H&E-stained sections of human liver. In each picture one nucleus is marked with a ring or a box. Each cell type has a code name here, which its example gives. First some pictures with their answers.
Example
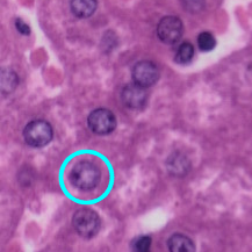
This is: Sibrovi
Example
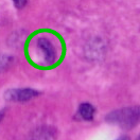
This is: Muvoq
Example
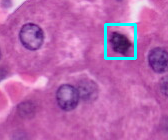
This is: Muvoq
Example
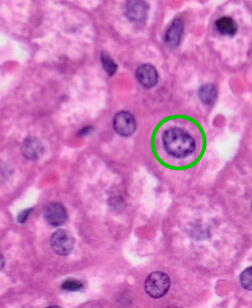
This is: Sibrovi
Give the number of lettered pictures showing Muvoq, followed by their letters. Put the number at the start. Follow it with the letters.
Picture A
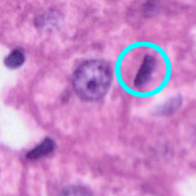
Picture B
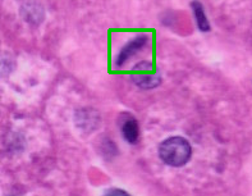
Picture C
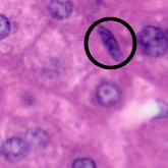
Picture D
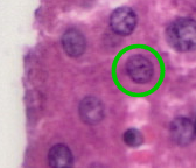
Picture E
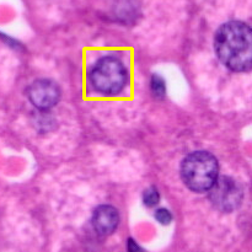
3, namely A, B, C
